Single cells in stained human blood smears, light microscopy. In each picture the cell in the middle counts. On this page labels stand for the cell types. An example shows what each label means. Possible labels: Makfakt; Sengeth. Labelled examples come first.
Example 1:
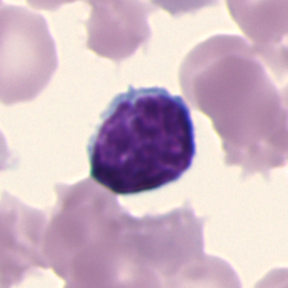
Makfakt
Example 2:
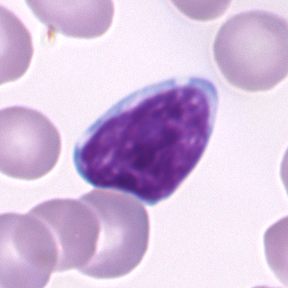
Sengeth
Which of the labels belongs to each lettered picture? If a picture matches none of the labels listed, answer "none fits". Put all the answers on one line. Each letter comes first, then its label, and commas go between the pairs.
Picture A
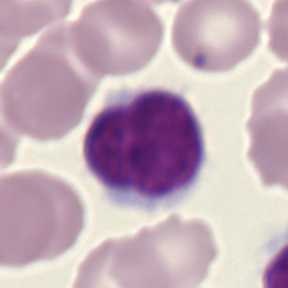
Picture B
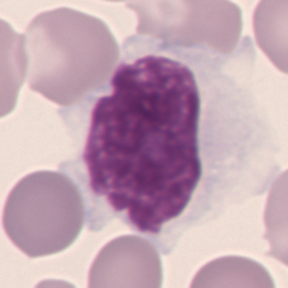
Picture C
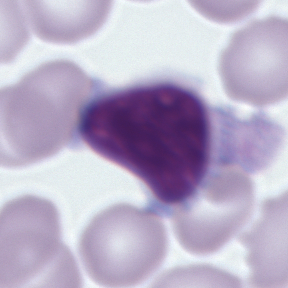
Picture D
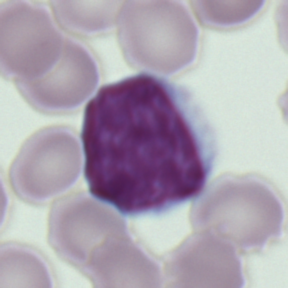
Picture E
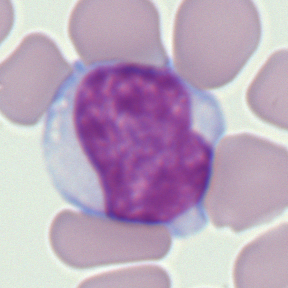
A none fits, B none fits, C Makfakt, D Makfakt, E Sengeth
